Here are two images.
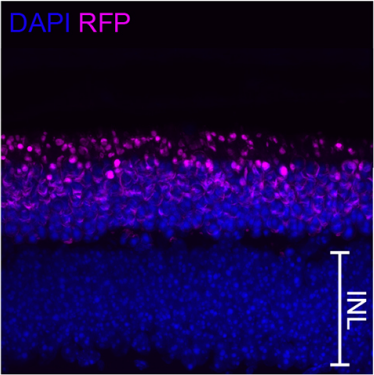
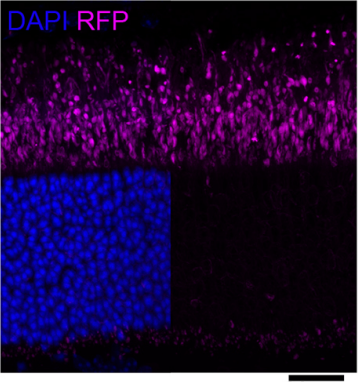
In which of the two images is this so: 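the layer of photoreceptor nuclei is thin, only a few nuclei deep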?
the first image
